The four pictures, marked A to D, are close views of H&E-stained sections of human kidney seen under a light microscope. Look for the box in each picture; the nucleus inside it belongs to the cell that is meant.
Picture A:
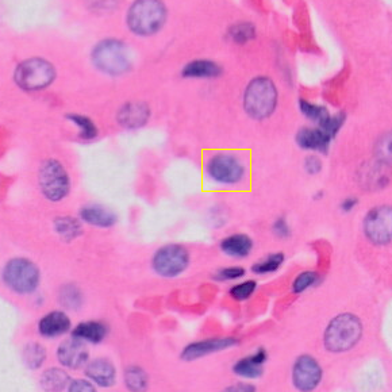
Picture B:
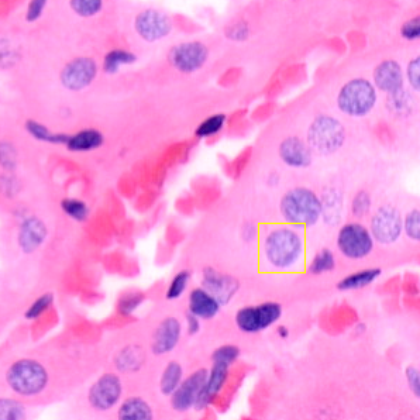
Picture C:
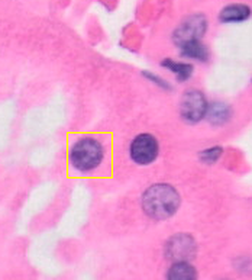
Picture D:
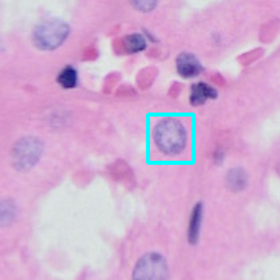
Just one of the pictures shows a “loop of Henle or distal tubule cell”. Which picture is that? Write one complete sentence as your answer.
Picture A is the one that shows the “loop of Henle or distal tubule cell”.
